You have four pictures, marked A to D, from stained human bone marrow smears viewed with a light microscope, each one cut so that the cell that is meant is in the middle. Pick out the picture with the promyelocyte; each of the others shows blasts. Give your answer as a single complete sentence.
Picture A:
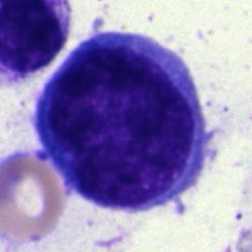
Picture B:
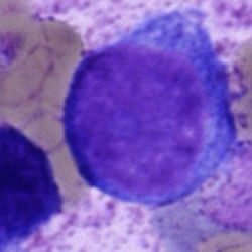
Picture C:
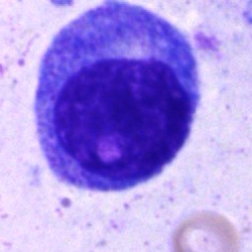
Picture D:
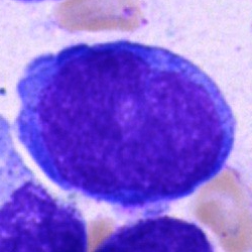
Picture C is the one that shows the promyelocyte.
